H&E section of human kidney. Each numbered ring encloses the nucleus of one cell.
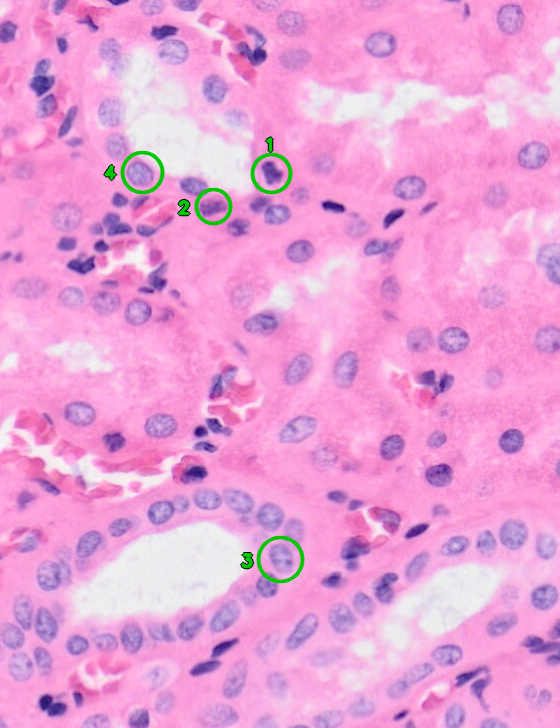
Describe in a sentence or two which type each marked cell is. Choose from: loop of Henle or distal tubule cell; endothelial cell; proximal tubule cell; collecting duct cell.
Cell 1 is a loop of Henle or distal tubule cell, cell 2 is a loop of Henle or distal tubule cell, cell 3 is a collecting duct cell and cell 4 is a loop of Henle or distal tubule cell.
